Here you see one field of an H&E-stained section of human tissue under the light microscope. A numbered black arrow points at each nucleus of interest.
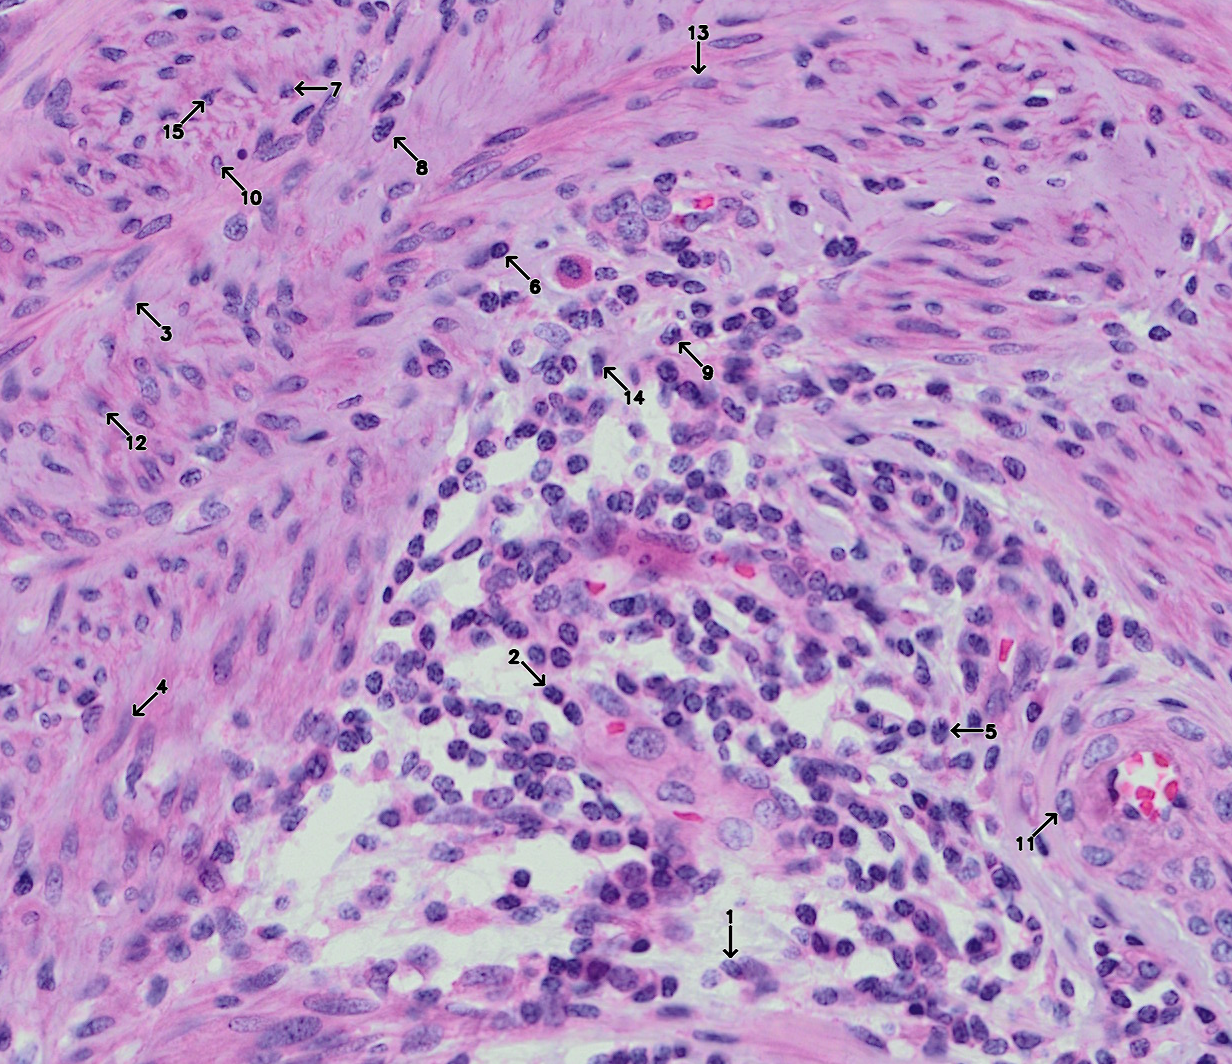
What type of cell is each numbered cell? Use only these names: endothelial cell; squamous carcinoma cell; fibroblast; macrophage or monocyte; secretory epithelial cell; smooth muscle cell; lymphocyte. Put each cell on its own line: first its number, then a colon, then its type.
1: lymphocyte
2: lymphocyte
3: smooth muscle cell
4: smooth muscle cell
5: lymphocyte
6: lymphocyte
7: smooth muscle cell
8: lymphocyte
9: lymphocyte
10: smooth muscle cell
11: smooth muscle cell
12: smooth muscle cell
13: smooth muscle cell
14: lymphocyte
15: smooth muscle cell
